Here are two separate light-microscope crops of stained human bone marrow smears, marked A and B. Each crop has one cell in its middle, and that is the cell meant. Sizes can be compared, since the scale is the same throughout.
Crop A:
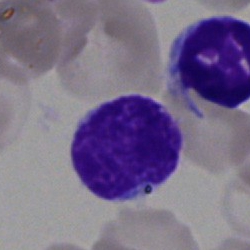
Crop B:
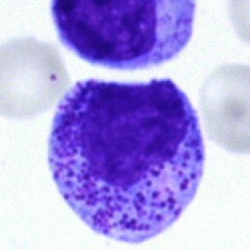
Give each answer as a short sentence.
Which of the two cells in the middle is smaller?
Smaller is the cell in crop A, and the other is about 2 times as large in area.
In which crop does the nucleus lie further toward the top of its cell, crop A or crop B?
Seen within its cell, the nucleus in crop B lies further toward the top.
